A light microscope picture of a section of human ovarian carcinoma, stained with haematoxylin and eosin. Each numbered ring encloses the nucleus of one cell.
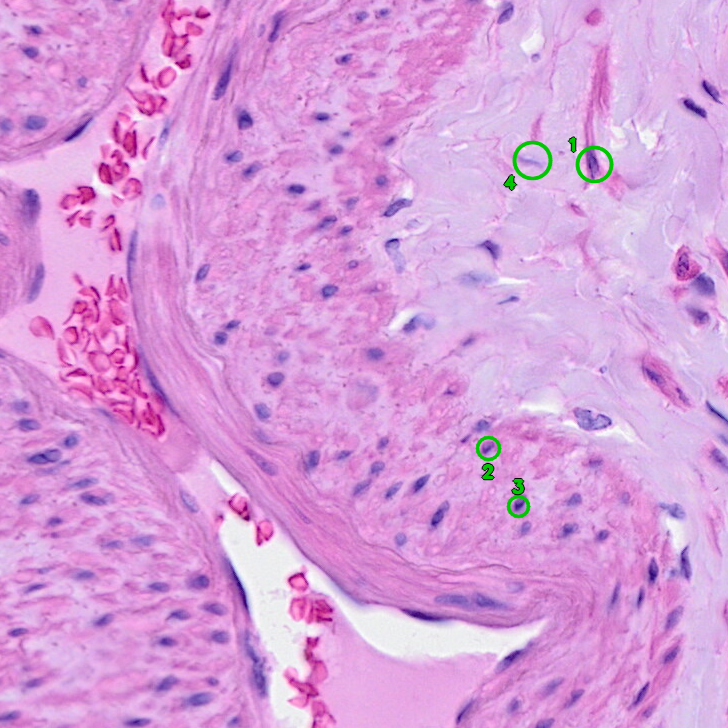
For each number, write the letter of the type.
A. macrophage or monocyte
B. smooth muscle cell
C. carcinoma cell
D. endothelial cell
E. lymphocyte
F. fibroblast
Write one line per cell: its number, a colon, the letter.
1: B
2: B
3: B
4: F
